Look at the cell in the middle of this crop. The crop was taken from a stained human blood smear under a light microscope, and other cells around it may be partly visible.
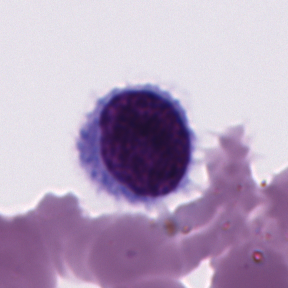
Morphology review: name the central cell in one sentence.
Positioned in the middle of the crop is a hairy cell.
